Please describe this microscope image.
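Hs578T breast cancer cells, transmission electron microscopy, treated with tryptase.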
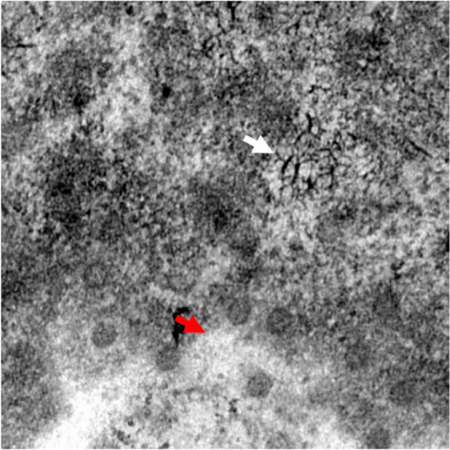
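The nucleoplasm is granular, with darker, ill-bounded clumps of chromatin alternating with paler areas. In one area a cluster of thin, dark, thread-like strands stands out, giving the chromatin a fibrillar look. Toward the bottom a small dark dense deposit lies near a row of small round grey bodies, and no sharp, continuous envelope line is made out there.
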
